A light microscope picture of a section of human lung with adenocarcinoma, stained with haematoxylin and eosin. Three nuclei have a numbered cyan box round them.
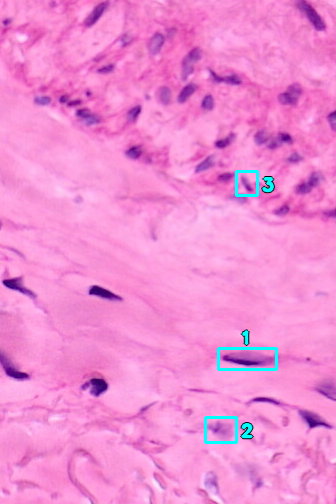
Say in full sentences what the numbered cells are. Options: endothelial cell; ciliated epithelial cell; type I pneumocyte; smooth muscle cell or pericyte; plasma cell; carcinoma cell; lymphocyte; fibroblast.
Cells 1 and 2 are fibroblasts. Cell 3 is a smooth muscle cell or pericyte.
